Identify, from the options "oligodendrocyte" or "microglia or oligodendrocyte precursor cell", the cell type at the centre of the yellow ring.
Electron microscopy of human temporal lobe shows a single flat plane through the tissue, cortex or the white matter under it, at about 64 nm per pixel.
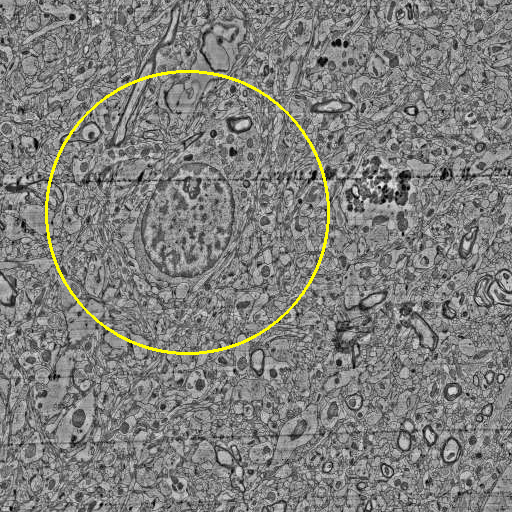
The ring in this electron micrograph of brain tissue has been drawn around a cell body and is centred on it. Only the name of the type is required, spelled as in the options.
oligodendrocyte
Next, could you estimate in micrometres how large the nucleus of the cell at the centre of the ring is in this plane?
The nucleus is approximately 8 micrometers long by 6 micrometers wide in this plane.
